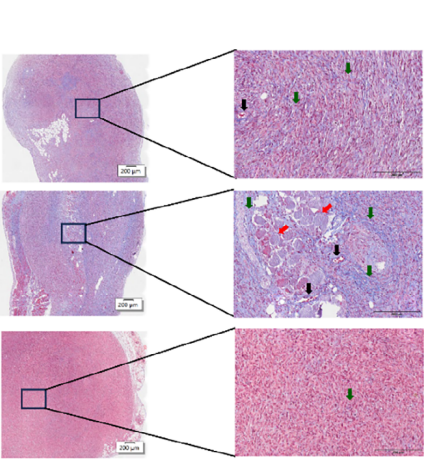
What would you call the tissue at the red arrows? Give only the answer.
Muscle fibers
